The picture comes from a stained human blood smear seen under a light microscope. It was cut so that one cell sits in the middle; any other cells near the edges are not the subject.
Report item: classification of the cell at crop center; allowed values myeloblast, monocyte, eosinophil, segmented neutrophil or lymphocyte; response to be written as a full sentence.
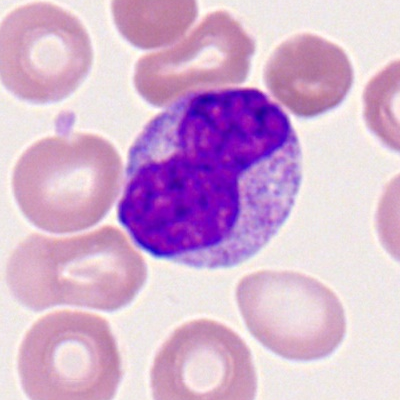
Here the centrally located cell is a monocyte.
